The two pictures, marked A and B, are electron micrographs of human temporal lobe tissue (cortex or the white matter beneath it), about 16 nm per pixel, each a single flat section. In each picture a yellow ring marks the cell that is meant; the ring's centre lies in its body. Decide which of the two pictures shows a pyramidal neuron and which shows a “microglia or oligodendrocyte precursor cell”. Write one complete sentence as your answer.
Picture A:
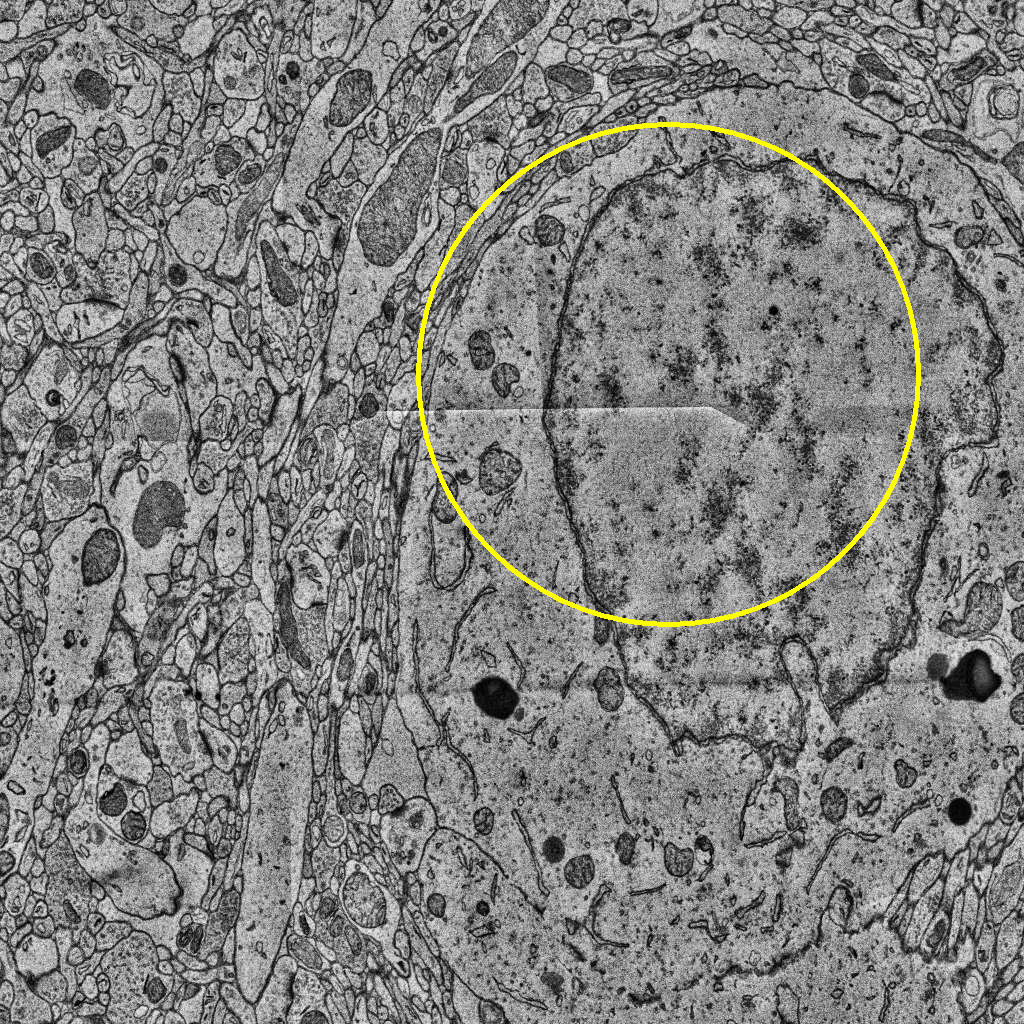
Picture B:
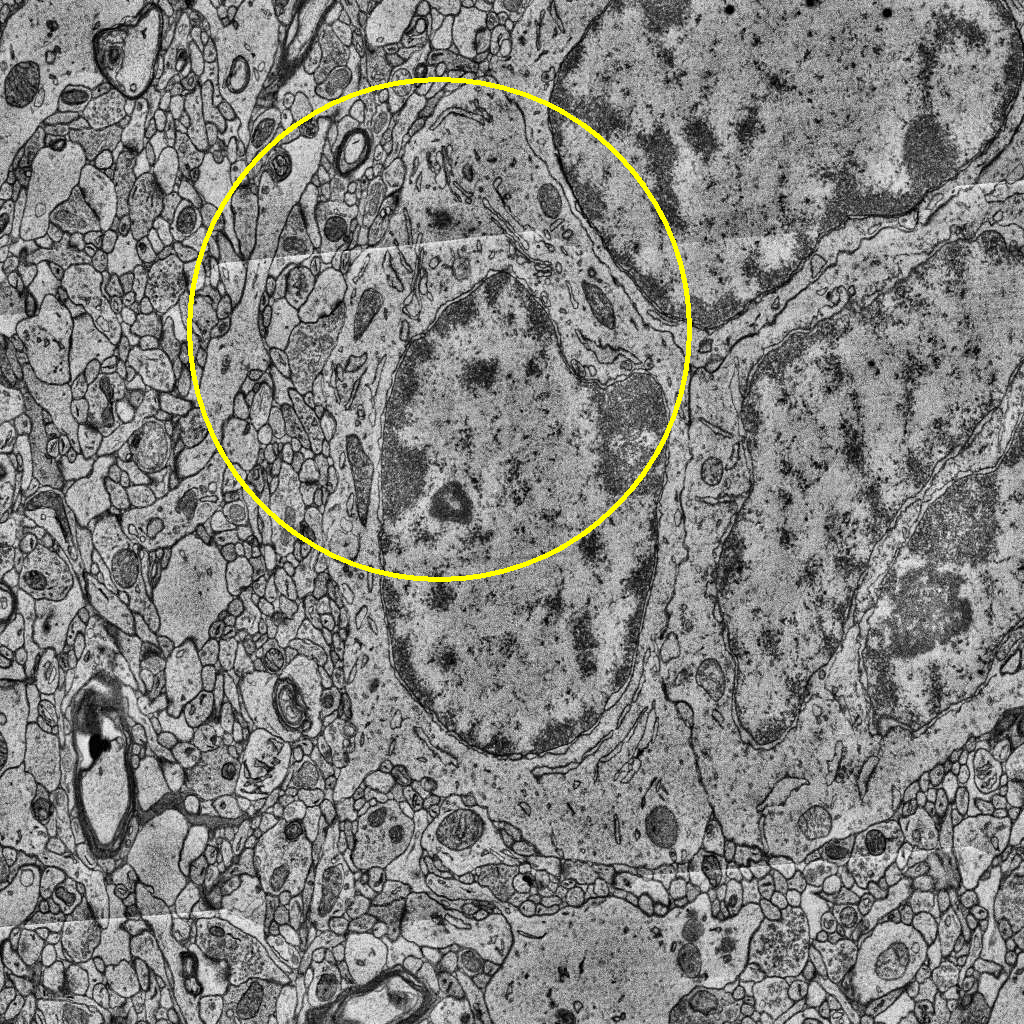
Picture B shows a “microglia or oligodendrocyte precursor cell”, while picture A shows a pyramidal neuron.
